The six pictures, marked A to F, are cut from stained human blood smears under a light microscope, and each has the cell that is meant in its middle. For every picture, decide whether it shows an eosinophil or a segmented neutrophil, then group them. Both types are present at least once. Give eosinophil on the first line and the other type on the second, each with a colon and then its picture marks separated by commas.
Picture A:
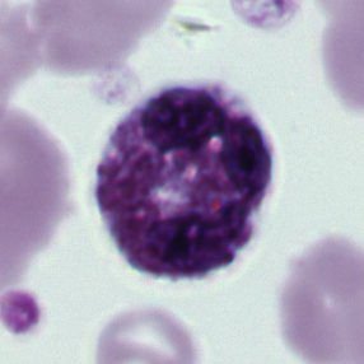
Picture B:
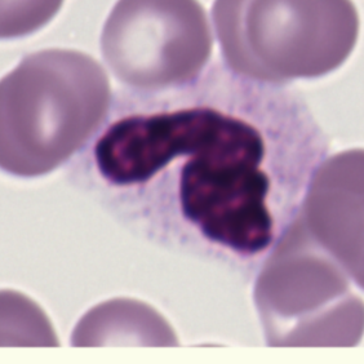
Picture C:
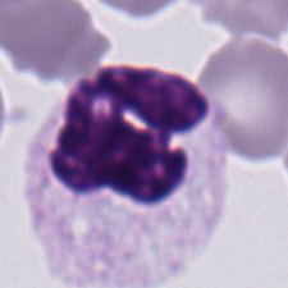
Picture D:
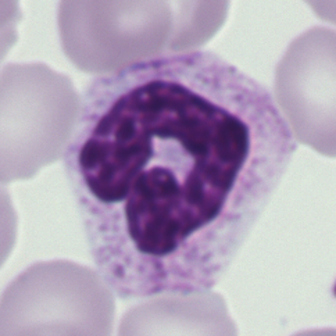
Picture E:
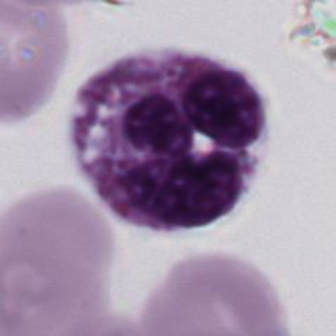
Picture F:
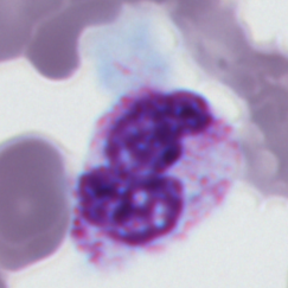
eosinophil: A, E
segmented neutrophil: B, C, D, F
